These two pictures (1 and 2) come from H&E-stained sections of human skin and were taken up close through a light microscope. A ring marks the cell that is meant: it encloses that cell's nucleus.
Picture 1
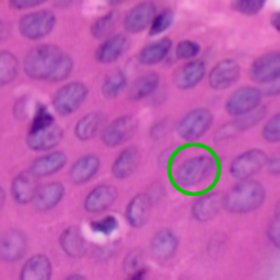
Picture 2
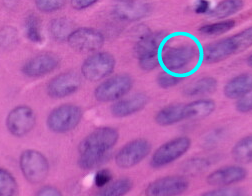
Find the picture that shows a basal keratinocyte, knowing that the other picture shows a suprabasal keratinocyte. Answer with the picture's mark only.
2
